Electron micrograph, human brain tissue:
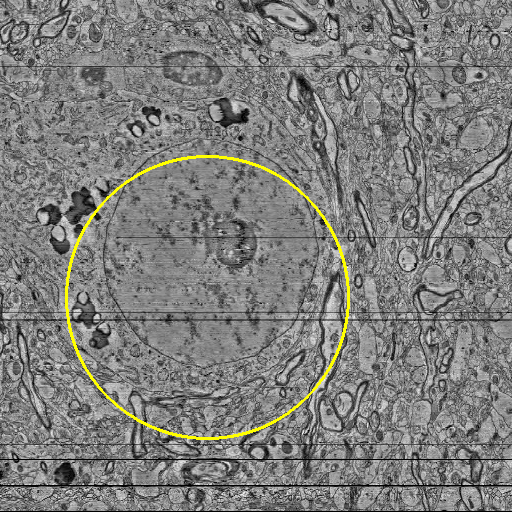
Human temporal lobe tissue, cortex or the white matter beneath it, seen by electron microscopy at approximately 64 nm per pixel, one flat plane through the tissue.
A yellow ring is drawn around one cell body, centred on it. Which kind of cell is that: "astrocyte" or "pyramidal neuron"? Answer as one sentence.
It is a pyramidal neuron at the centre of the ring.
